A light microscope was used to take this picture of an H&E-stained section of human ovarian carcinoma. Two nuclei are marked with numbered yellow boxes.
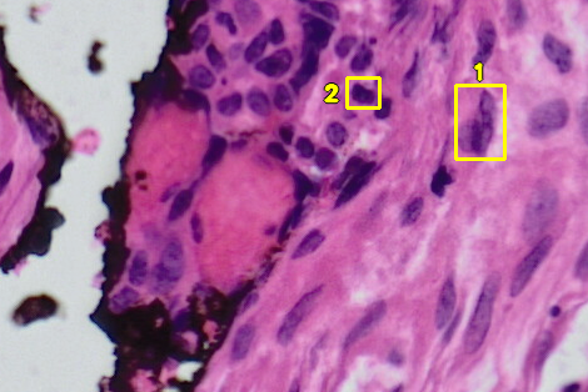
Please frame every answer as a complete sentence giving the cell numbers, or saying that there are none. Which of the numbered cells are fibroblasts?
Of all the numbered cells, only cell 1 is a fibroblast.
